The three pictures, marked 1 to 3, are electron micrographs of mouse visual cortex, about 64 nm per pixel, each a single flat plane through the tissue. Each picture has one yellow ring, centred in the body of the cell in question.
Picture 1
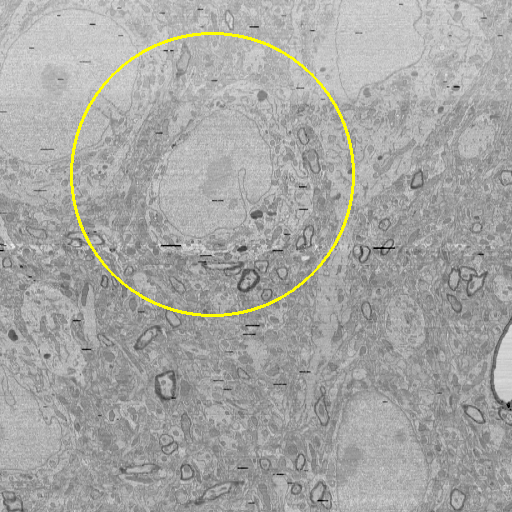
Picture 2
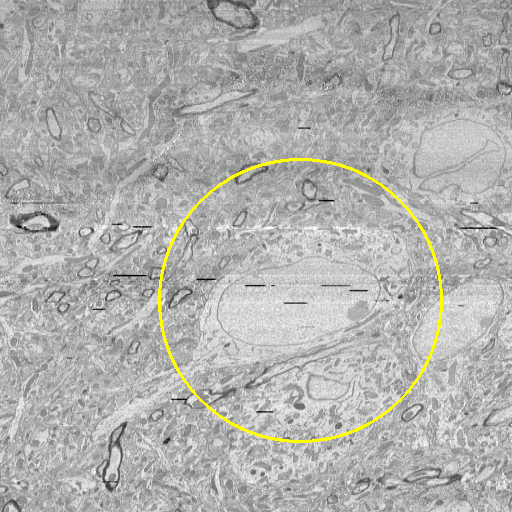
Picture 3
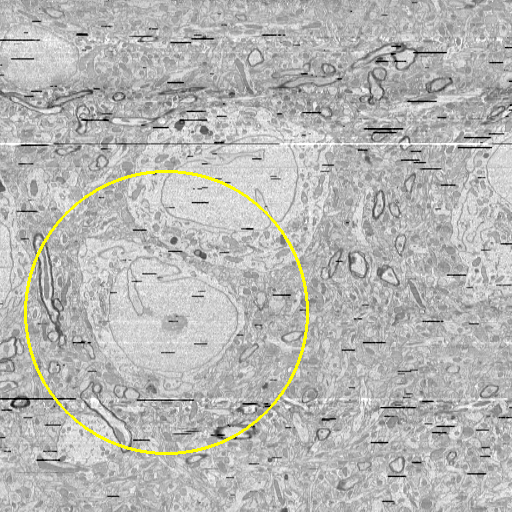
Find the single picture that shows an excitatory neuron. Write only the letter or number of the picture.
2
